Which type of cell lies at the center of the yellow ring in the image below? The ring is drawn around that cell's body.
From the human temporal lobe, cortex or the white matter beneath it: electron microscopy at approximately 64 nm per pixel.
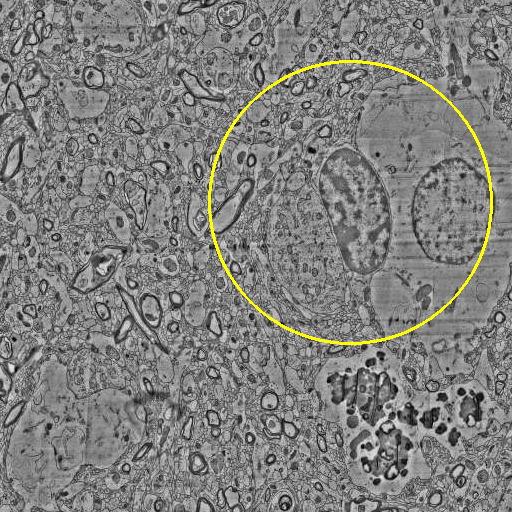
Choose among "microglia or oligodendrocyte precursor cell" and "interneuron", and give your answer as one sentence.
The cell body at the center belongs to a microglial cell or oligodendrocyte precursor cell.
